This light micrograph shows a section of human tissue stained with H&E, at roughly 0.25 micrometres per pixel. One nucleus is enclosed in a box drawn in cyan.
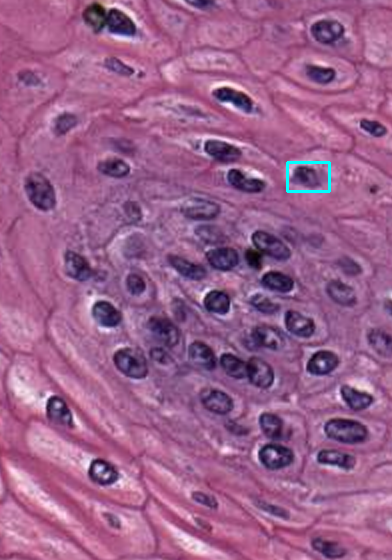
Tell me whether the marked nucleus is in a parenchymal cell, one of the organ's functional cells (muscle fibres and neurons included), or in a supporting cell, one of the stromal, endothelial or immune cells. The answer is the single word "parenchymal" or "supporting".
parenchymal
